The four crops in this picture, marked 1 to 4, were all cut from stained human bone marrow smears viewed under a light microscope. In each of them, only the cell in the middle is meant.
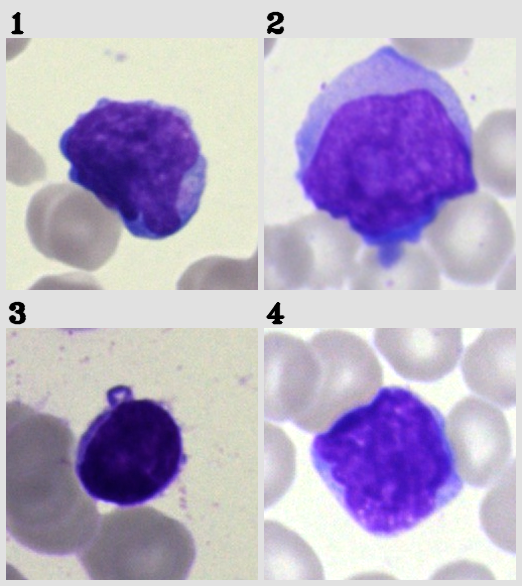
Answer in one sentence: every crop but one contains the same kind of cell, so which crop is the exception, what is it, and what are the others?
Found in all crops but one are blasts; the exception, crop 3, contains a lymphocyte.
